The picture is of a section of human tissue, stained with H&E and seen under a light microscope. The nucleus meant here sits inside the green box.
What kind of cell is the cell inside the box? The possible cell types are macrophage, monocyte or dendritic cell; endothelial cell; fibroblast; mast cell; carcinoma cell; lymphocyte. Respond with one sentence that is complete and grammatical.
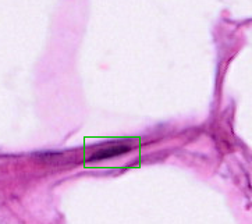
At the level of cell identity, the cell inside the box is an endothelial cell.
